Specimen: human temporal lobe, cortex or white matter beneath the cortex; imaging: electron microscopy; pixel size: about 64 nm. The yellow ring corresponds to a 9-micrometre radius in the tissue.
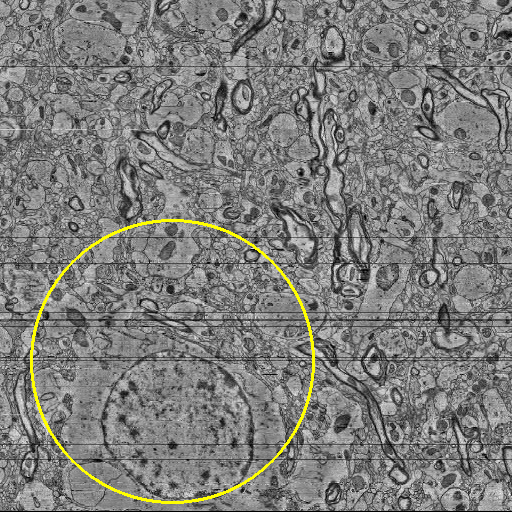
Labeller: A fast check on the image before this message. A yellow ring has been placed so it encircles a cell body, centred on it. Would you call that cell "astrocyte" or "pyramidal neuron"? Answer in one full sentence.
In this image, an astrocyte is the cell on which the yellow ring is centred.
